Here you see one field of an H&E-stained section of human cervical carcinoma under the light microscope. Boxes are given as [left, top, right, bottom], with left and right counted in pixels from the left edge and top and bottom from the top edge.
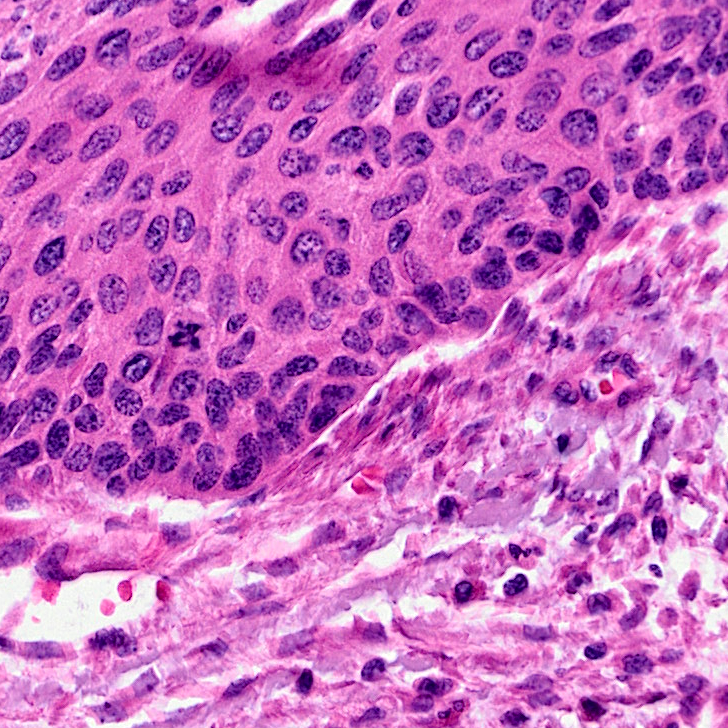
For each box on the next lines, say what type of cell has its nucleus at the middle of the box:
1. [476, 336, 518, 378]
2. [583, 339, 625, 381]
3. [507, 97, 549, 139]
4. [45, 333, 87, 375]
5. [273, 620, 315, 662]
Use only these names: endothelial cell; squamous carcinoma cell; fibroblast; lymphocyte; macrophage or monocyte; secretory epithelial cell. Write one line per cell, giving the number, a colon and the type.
1: fibroblast
2: endothelial cell
3: squamous carcinoma cell
4: squamous carcinoma cell
5: fibroblast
